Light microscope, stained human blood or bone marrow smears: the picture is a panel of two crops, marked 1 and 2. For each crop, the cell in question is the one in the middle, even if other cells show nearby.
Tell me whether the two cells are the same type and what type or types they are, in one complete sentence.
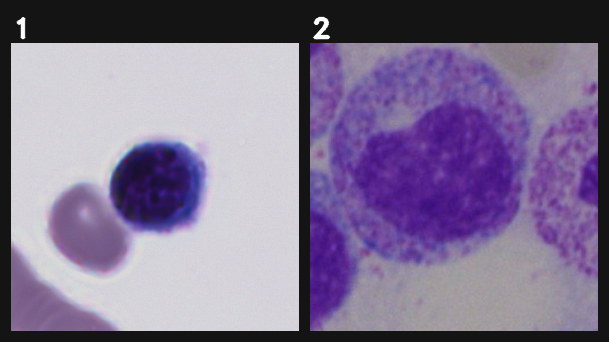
No, sorry, crop 1 shows a plasma cell and crop 2 shows a myelocyte.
